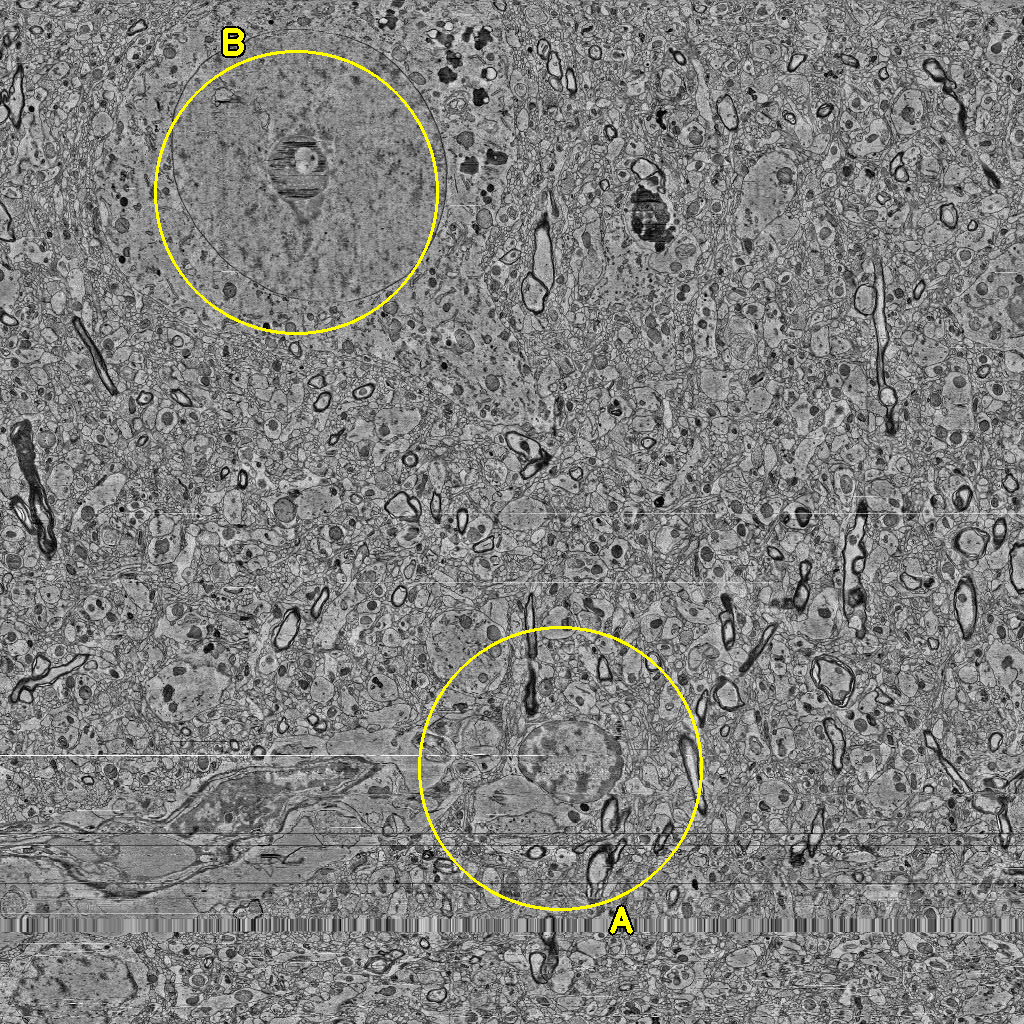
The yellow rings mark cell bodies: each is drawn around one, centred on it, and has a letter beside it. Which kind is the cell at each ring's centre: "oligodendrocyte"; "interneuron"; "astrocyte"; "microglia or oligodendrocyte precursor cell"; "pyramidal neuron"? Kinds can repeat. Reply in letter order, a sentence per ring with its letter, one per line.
At the centre of ring A lies a microglial cell or oligodendrocyte precursor cell.
At the centre of ring B lies a pyramidal neuron.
